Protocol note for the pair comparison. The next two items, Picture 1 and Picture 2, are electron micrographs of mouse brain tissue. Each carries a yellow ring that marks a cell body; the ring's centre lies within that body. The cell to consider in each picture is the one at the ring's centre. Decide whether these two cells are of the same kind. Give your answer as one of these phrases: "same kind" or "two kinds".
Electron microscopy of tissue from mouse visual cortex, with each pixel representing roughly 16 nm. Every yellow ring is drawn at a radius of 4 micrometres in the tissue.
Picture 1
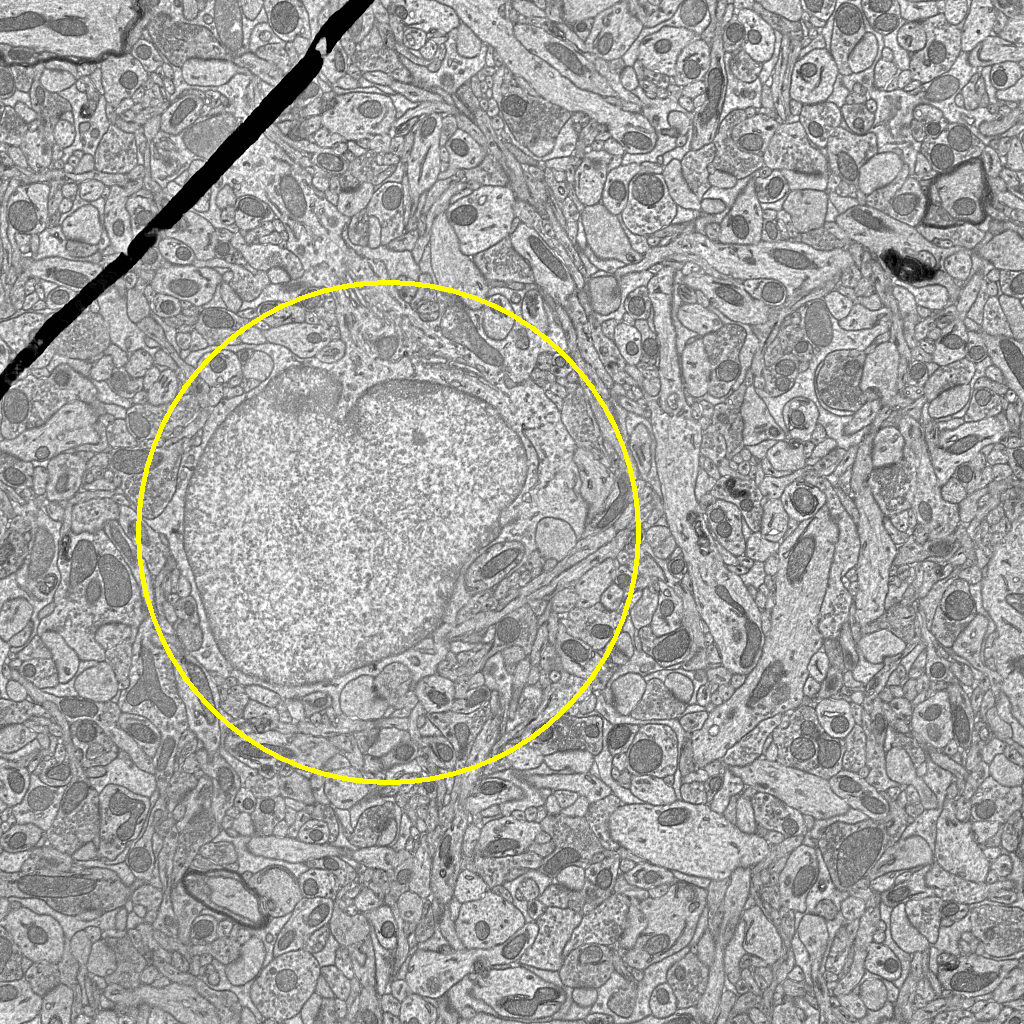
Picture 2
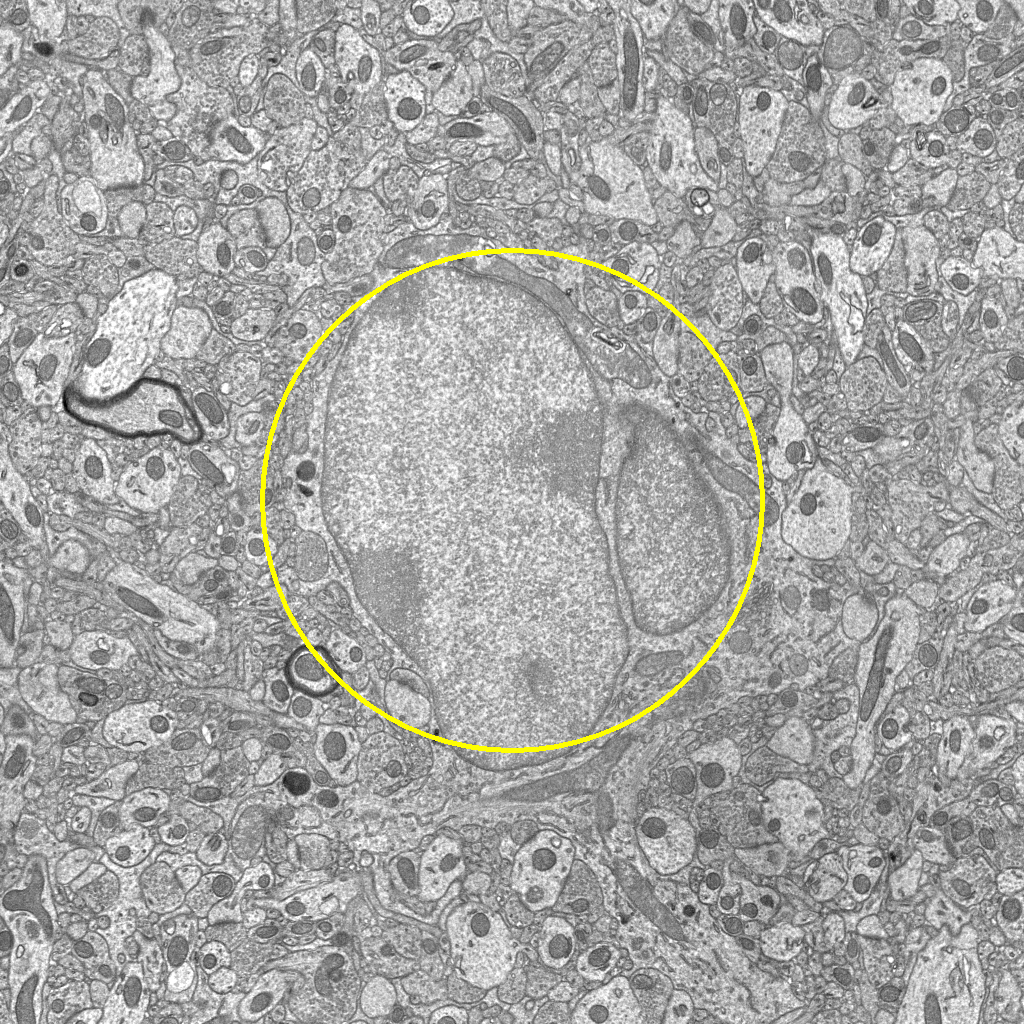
same kind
